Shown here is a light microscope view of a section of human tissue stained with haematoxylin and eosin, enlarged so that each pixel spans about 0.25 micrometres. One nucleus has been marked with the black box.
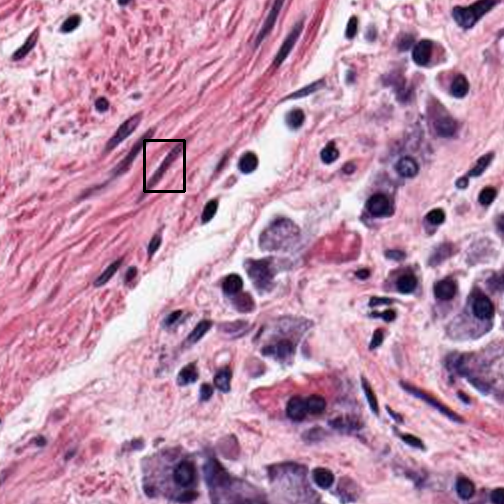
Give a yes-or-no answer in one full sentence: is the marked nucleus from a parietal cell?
No, the nucleus marked in this section is not that of a parietal cell.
